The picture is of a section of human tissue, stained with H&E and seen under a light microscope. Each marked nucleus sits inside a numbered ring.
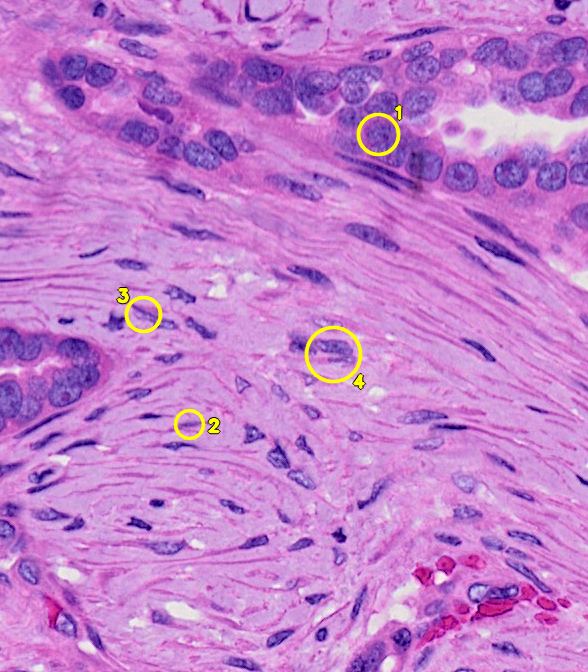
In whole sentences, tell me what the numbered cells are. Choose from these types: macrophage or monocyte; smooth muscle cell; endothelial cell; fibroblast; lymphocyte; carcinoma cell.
Cell 1 is a carcinoma cell, cell 2 is a fibroblast, cell 3 is a fibroblast and cell 4 is a fibroblast.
